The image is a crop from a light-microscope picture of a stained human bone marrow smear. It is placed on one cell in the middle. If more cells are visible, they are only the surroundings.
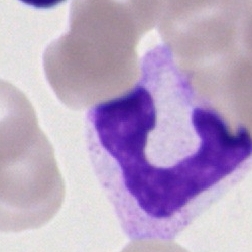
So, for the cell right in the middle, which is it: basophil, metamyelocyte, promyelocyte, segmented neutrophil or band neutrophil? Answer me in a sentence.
In the middle of this smear crop is a band neutrophil.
